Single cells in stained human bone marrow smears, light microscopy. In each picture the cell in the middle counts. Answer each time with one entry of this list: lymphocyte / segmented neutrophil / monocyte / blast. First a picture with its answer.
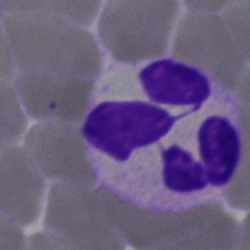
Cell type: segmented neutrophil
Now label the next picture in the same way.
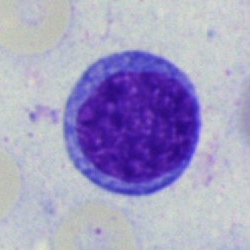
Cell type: blast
